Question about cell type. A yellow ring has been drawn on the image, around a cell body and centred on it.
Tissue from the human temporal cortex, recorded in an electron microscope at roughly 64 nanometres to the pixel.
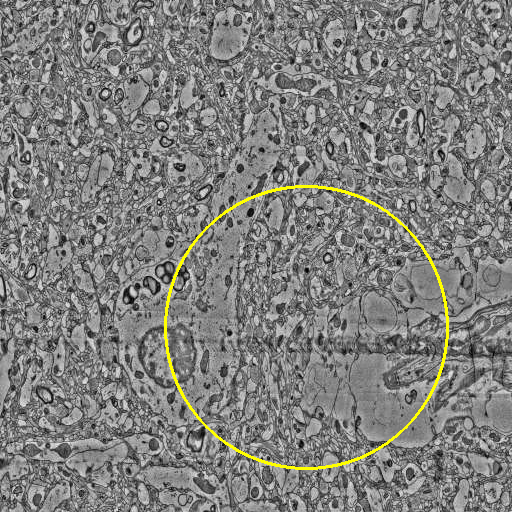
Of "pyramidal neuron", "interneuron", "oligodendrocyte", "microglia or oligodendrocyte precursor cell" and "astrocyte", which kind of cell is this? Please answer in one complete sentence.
At the centre of the ring lies an oligodendrocyte.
